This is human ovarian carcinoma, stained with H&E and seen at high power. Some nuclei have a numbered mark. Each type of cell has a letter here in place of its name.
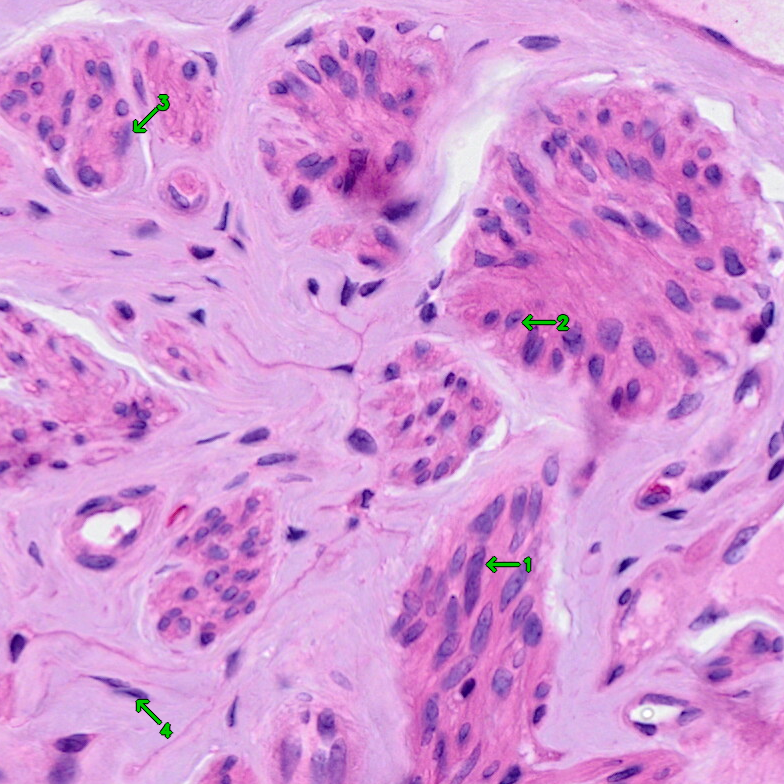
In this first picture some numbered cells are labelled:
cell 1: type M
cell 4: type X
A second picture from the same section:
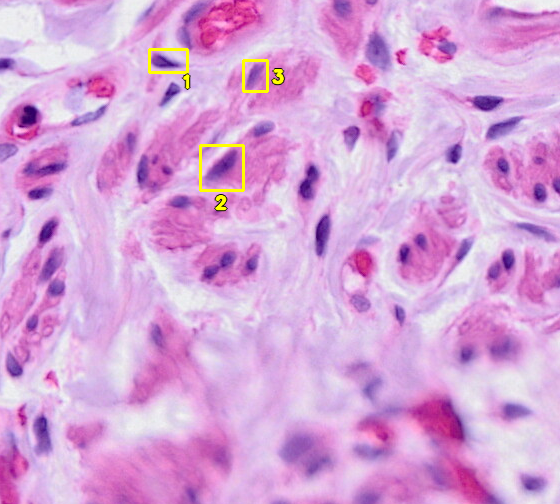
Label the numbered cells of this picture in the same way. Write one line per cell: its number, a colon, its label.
1: type X
2: type M
3: type M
